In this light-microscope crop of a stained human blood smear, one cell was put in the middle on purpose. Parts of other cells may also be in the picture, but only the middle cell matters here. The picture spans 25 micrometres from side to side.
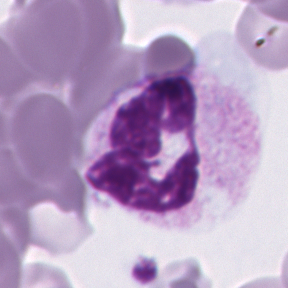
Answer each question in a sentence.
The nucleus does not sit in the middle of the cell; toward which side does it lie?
The nucleus is pushed toward the left of the cell.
